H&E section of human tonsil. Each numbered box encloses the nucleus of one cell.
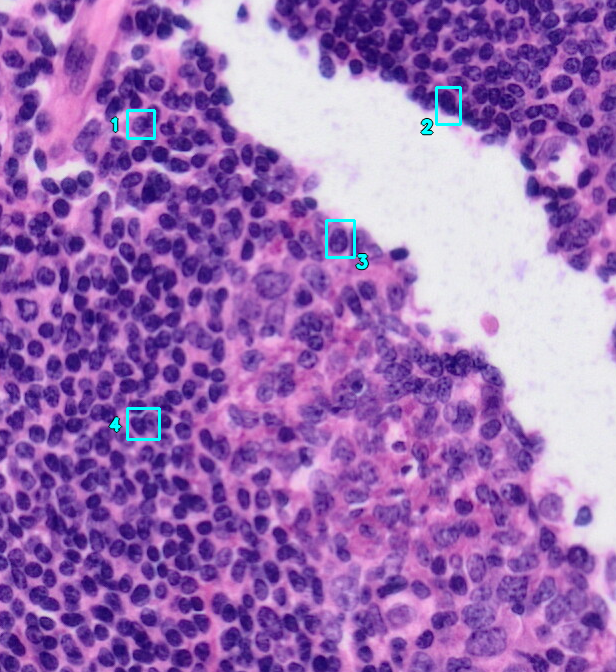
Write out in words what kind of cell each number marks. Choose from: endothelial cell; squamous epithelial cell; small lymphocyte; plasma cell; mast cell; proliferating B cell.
Cells 1, 2 and 4 are small lymphocytes. Cell 3 is a proliferating B cell.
